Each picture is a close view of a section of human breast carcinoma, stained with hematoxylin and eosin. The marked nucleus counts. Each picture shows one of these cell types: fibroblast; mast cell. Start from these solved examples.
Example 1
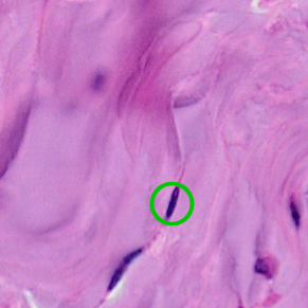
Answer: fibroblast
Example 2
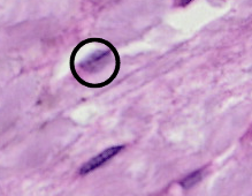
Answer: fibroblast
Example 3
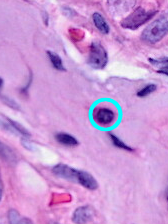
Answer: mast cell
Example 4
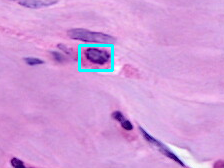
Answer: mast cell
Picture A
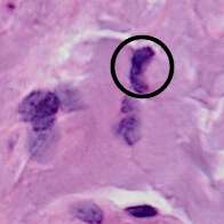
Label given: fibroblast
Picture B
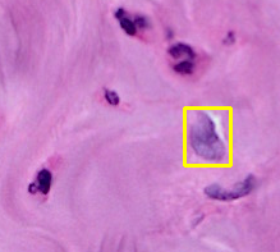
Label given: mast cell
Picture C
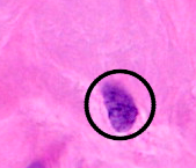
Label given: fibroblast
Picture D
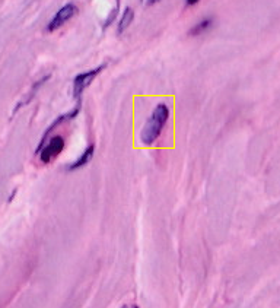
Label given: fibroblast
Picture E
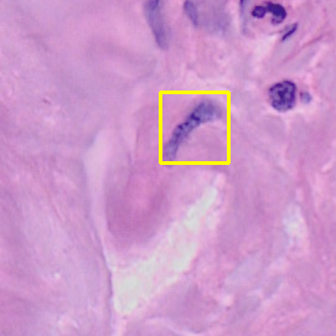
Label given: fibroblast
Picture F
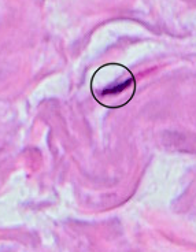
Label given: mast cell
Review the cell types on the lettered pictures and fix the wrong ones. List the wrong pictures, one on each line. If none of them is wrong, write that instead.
B: not mast cell but fibroblast
F: not mast cell but fibroblast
